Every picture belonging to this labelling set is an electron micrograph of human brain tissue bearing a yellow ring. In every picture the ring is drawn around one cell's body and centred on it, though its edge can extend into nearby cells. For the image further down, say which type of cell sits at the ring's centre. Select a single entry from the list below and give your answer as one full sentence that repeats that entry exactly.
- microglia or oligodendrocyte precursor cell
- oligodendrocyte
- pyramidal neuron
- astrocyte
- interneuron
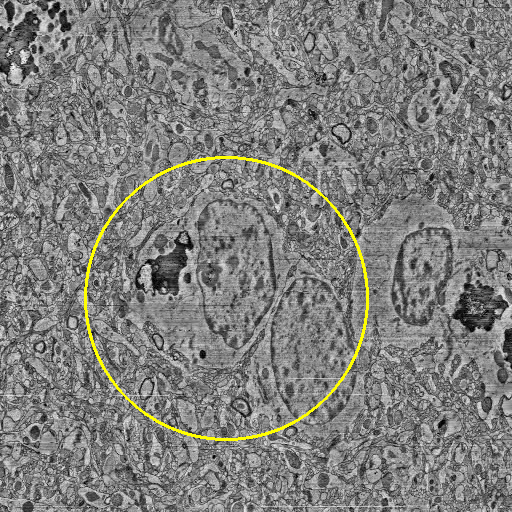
In the picture, an astrocyte is the cell at the centre of the yellow ring.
